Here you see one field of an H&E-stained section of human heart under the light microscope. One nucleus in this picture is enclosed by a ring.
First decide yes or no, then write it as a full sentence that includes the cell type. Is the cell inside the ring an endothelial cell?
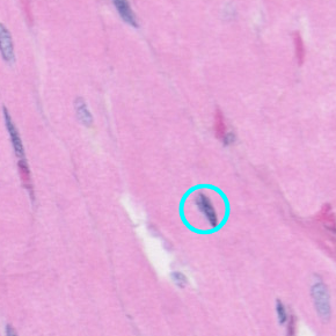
Yes, the identification stands: the cell inside the ring is an endothelial cell.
